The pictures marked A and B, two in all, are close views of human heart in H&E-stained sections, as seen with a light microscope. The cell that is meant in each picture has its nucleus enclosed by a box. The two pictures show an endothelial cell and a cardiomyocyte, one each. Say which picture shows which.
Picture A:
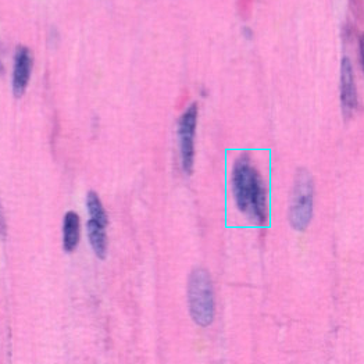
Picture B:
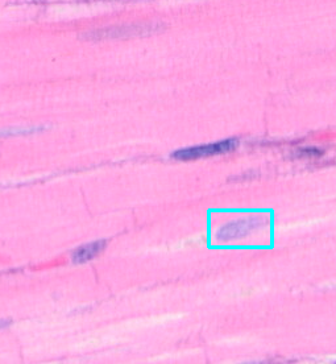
A: endothelial cell
B: cardiomyocyte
